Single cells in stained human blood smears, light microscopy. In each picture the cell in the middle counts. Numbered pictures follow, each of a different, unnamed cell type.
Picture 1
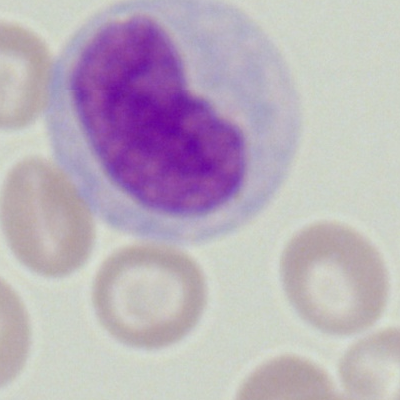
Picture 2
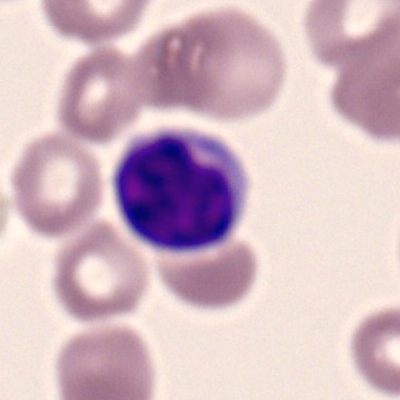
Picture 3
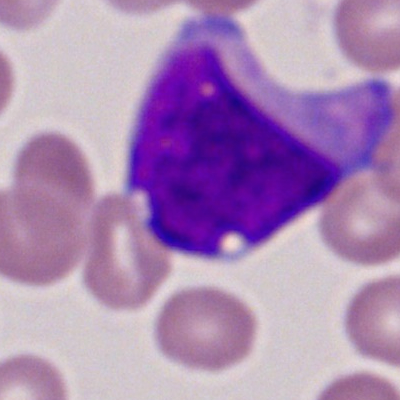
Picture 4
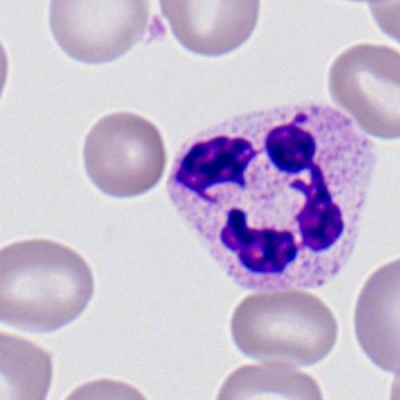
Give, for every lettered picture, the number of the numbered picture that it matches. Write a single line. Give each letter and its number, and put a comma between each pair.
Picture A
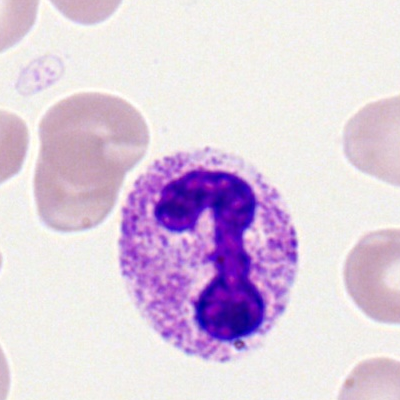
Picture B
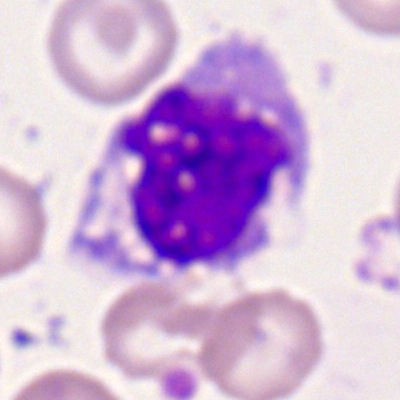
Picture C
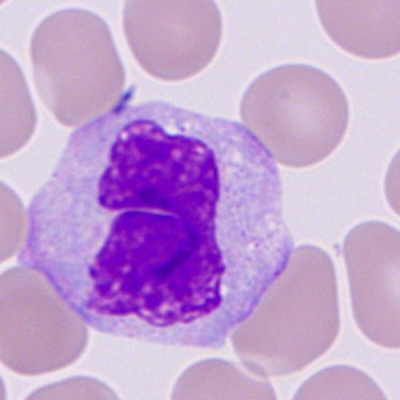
A 4, B 1, C 1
